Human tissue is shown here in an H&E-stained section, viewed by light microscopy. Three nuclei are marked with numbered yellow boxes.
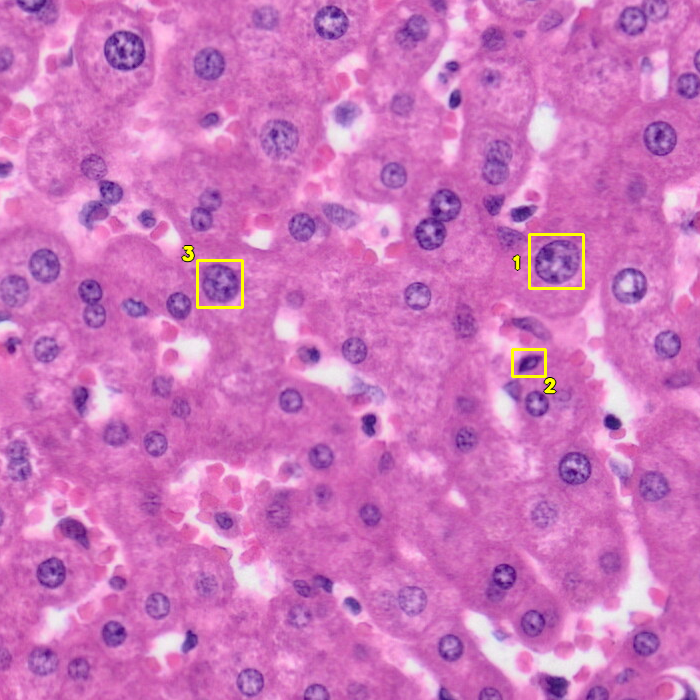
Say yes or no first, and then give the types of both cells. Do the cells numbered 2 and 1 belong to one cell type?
No, cell 2 is a fibroblast or stellate cell and cell 1 is a hepatocyte.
